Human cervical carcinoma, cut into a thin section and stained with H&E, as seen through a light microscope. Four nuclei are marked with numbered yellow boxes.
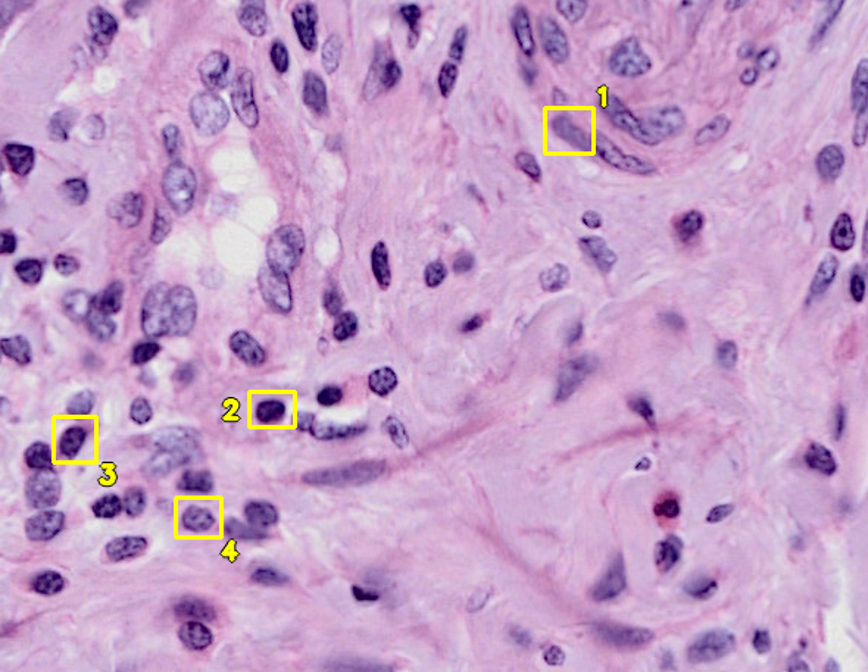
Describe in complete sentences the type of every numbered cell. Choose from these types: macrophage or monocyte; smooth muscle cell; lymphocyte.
Cell 1 is a smooth muscle cell. Cells 2, 3 and 4 are lymphocytes.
